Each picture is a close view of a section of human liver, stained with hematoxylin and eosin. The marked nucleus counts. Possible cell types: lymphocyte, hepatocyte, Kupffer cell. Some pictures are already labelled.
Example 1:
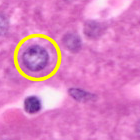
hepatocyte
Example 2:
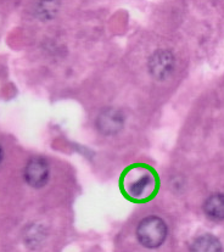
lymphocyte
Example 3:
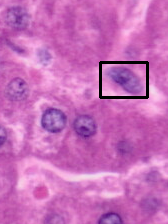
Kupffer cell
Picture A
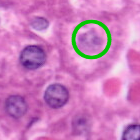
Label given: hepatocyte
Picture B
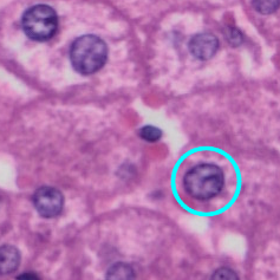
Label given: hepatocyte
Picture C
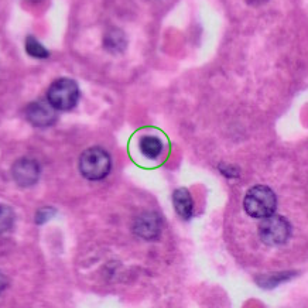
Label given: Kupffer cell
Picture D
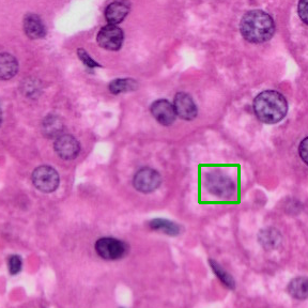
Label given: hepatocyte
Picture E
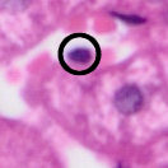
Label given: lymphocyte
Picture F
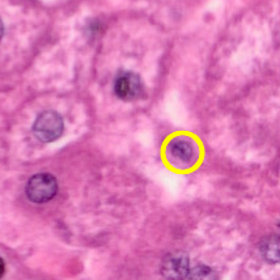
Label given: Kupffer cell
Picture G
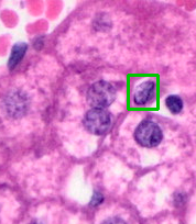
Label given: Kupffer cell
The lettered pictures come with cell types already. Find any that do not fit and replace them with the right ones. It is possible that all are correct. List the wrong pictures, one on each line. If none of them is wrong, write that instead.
C: not Kupffer cell but lymphocyte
